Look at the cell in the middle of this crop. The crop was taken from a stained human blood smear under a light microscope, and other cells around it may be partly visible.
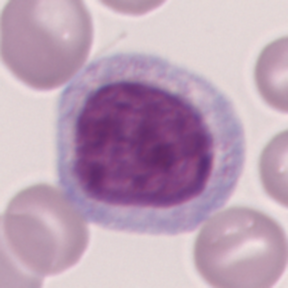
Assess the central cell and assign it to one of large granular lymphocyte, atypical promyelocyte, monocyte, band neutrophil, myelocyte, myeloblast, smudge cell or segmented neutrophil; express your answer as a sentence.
At the center of the crop sits a myelocyte.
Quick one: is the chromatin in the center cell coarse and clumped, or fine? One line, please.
The chromatin in this nucleus is coarsely clumped.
